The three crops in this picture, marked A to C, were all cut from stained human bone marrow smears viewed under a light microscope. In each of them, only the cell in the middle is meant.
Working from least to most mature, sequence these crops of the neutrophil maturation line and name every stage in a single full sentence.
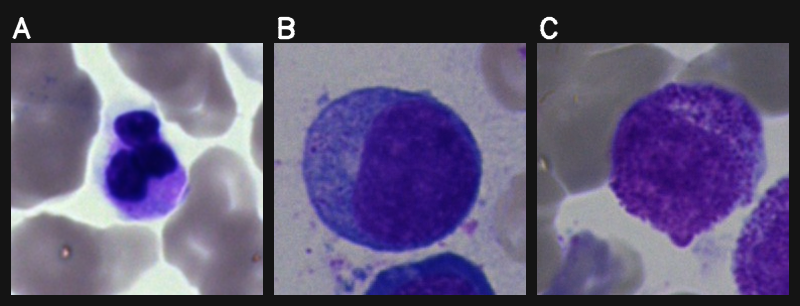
The order of increasing maturity among the crops is crop B (a promyelocyte), crop C (a myelocyte) and crop A (a segmented neutrophil).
